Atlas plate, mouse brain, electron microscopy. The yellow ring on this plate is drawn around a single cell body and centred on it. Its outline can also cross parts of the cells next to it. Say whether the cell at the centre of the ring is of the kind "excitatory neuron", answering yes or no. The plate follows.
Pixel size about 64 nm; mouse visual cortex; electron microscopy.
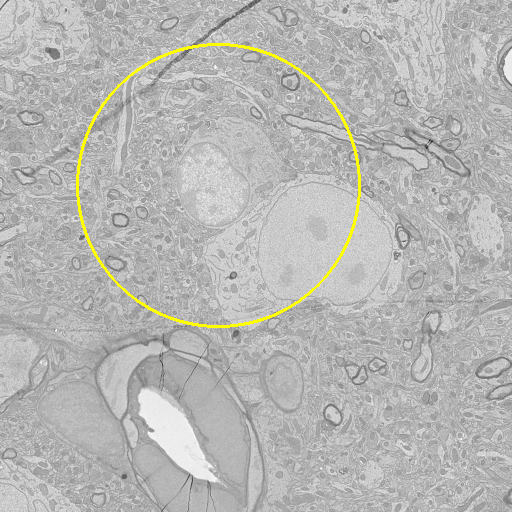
No, the cell is of another kind.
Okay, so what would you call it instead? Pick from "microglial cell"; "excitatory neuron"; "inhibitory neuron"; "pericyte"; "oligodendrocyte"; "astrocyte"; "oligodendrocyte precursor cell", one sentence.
The cell in the ring is an oligodendrocyte instead.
